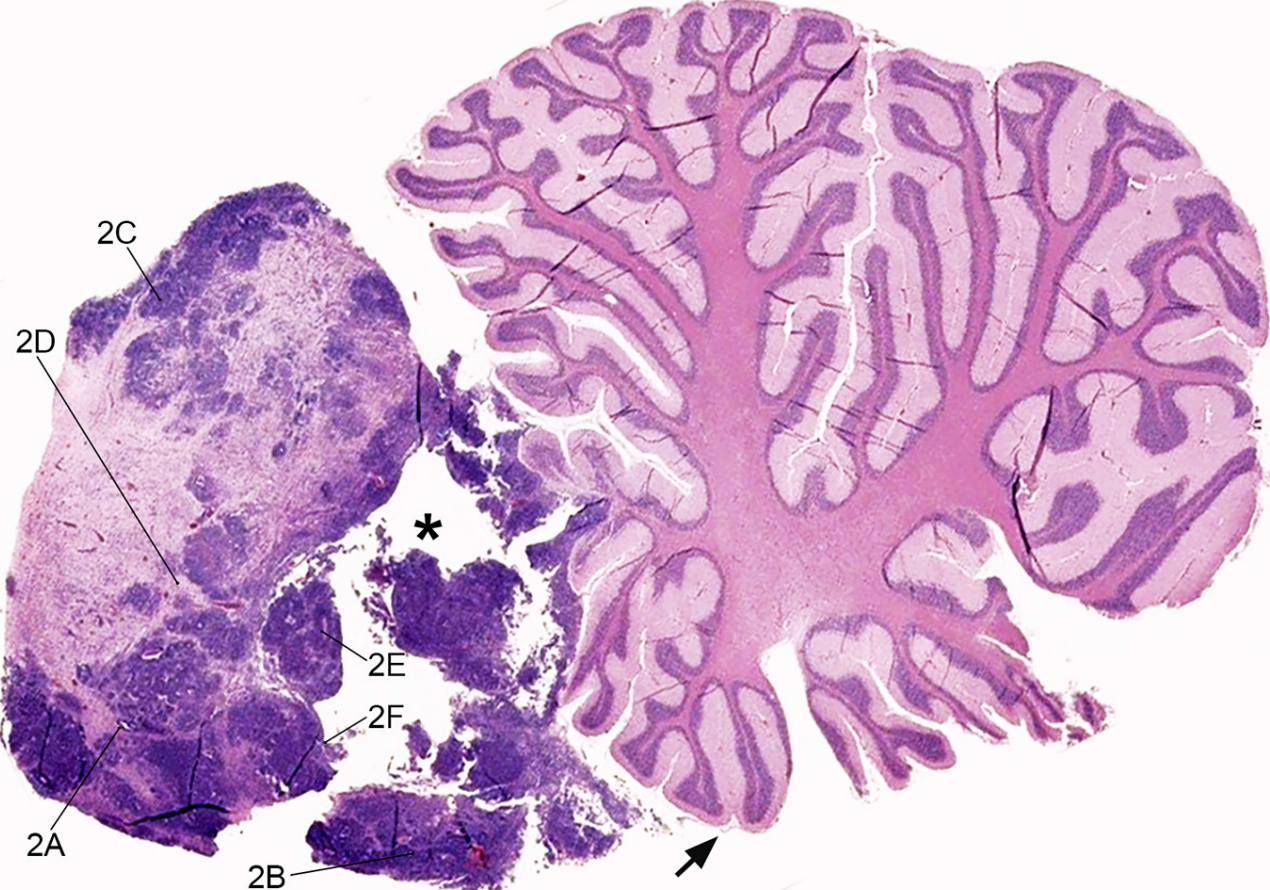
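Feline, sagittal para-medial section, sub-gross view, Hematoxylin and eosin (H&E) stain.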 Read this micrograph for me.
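At low magnification, the right half shows the cerebellum, with a branching pink white-matter core. Slender folia spread from the core, and each is lined by a dark purple granular layer under a paler outer molecular layer. On the left lies a large irregular mass. Dense dark purple nodules packed with nuclei are scattered through it, alternating with broad pale pink areas that hold few nuclei. Between the mass and the cerebellum is a wide empty cavity bordered by fragmented tissue. Dark tumor tissue extends along the surface toward the folia nearest to the mass.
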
